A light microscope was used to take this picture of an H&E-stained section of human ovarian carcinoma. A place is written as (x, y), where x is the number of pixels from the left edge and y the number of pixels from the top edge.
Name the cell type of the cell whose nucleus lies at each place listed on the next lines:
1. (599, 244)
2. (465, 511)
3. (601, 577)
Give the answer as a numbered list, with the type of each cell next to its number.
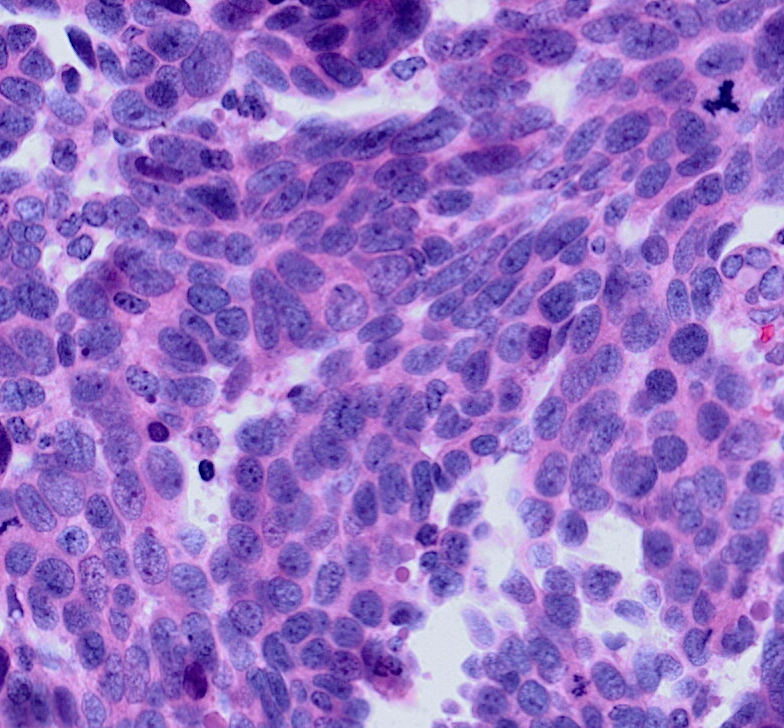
1. macrophage or monocyte
2. carcinoma cell
3. carcinoma cell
